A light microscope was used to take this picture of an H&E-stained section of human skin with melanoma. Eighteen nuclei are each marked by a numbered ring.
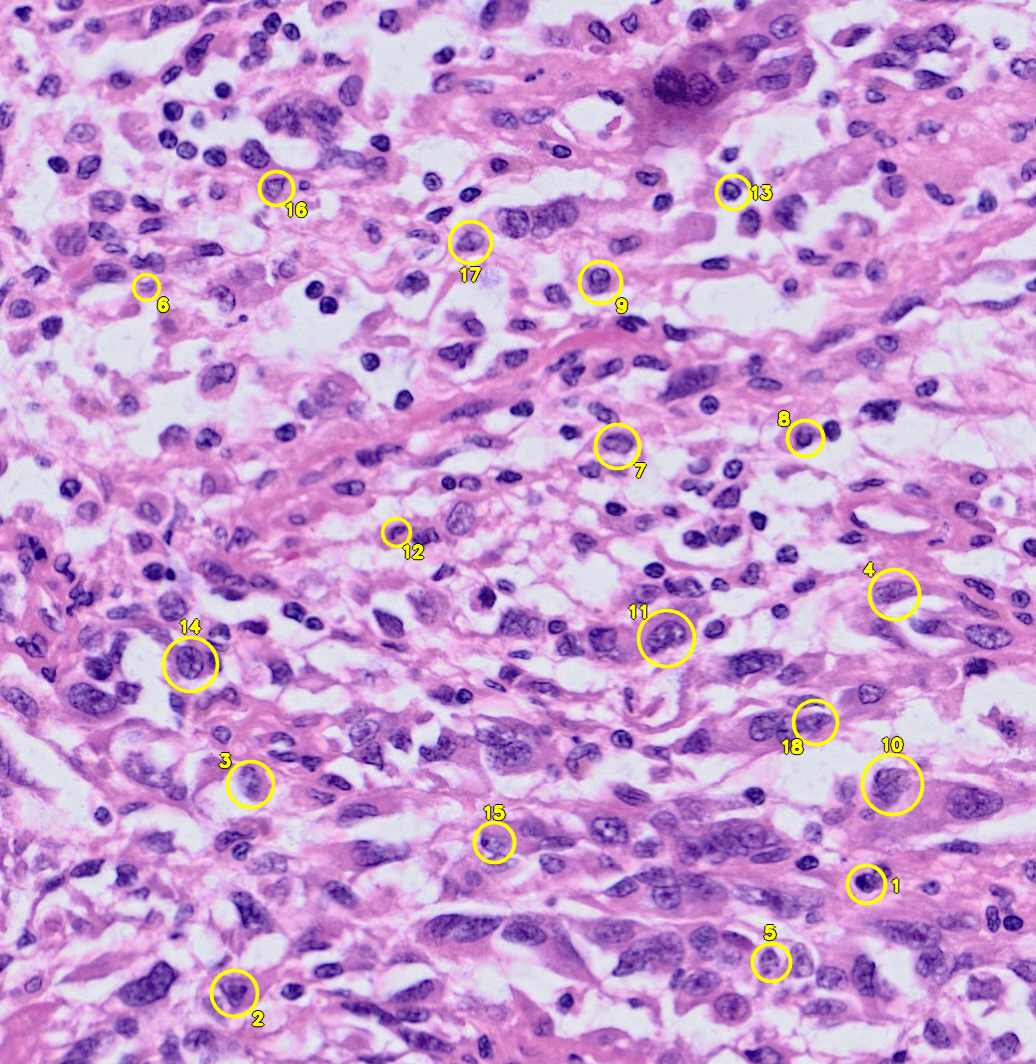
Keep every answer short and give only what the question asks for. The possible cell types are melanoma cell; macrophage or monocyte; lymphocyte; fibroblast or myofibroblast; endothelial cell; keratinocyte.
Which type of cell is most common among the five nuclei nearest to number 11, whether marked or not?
melanoma cell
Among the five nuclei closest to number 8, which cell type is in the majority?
macrophage or monocyte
